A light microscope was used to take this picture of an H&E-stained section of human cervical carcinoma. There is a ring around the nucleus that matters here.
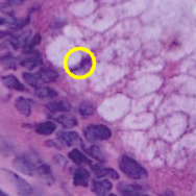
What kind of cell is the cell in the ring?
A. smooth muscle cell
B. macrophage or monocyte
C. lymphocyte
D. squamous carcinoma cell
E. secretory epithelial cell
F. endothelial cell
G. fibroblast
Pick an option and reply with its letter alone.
E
